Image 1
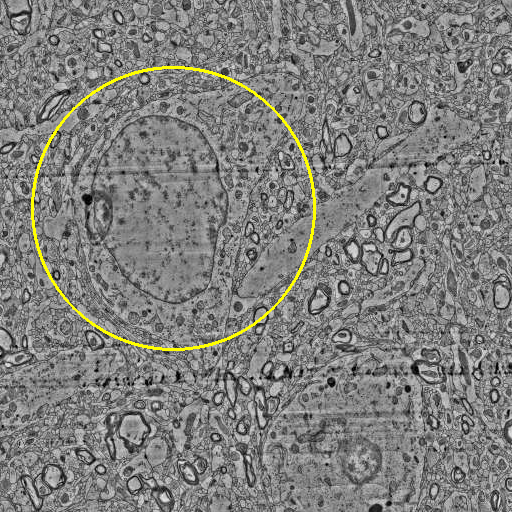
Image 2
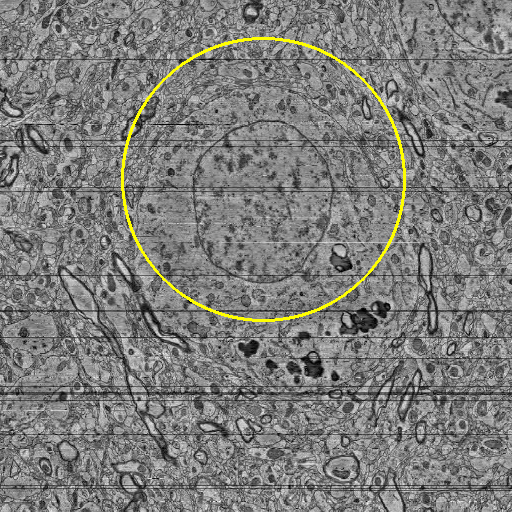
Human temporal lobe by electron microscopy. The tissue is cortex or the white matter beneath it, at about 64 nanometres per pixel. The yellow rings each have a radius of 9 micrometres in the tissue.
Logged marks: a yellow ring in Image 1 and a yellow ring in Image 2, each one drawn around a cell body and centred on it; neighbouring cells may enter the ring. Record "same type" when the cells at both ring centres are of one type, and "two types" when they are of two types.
same type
